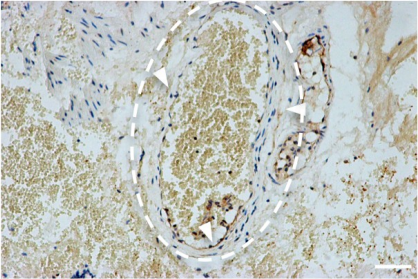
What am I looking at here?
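Beside the large channel lie smaller vessel profiles with a few brown-stained lining cells. Red blood cells also lie spread through the surrounding tissue, outside the vessel walls, and the loose tissue between them holds scattered spindle-shaped nuclei.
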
